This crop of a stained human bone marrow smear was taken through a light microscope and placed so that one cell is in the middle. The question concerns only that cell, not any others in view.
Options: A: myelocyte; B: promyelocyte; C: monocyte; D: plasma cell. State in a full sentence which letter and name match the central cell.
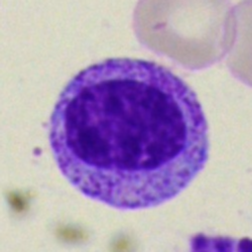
The cell positioned centrally is a myelocyte, as given in option A, which is correct.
